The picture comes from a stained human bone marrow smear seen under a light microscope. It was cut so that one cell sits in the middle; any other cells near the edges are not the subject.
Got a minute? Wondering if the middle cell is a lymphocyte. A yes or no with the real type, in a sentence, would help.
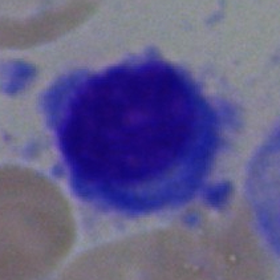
No, what sits in the centre of the crop is a plasma cell rather than a lymphocyte.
